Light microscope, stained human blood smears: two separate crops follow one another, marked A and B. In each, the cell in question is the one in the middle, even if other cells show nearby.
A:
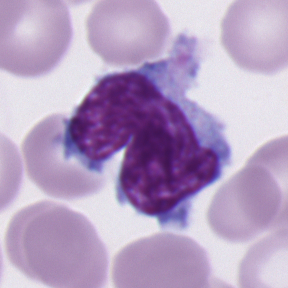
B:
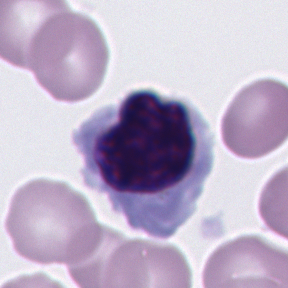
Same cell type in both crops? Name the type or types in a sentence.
No, crop A features a typical lymphocyte, and crop B features a normoblast.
